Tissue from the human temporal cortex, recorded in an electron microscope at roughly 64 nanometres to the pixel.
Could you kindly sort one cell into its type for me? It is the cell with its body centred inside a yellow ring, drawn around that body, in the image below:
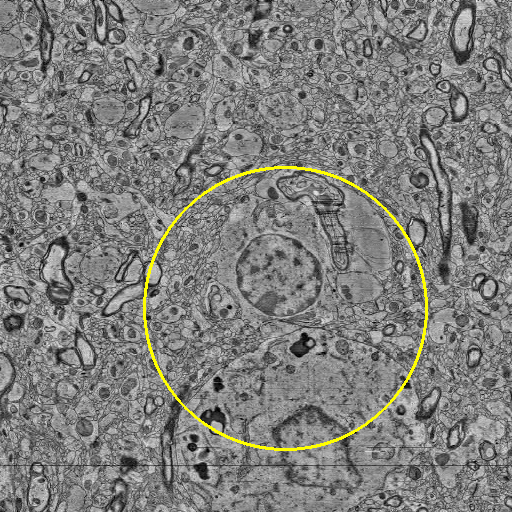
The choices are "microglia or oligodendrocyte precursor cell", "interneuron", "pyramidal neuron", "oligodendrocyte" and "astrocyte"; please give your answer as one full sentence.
The cell whose body lies centred in the yellow ring here is a microglial cell or oligodendrocyte precursor cell.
